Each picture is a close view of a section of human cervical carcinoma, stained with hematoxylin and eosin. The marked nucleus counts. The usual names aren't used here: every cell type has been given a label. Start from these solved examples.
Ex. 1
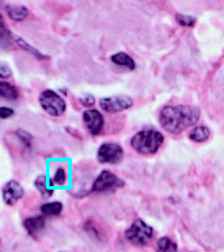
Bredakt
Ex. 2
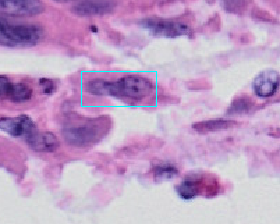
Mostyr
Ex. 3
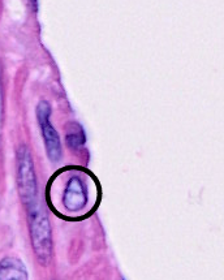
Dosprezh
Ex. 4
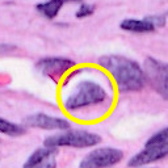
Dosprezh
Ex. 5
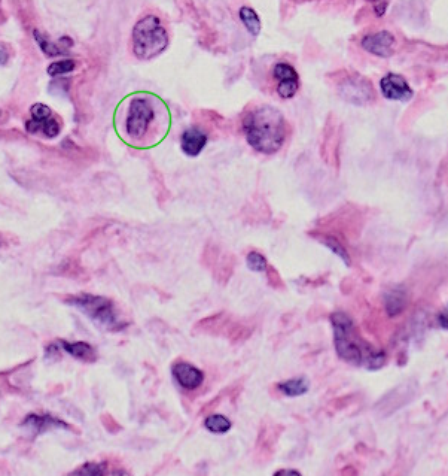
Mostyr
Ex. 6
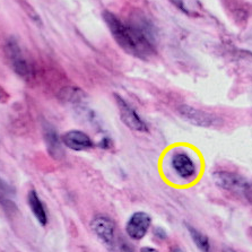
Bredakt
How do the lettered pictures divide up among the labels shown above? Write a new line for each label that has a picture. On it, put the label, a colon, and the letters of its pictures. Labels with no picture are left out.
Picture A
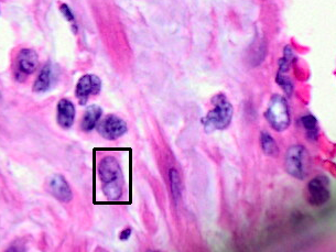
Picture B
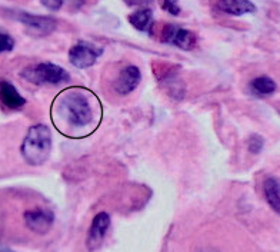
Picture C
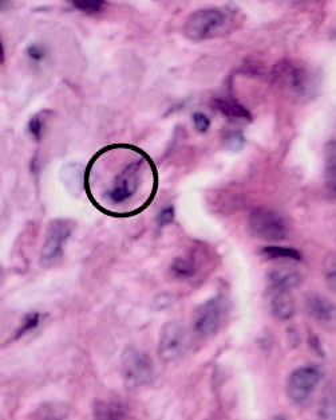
Mostyr: A, B, C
